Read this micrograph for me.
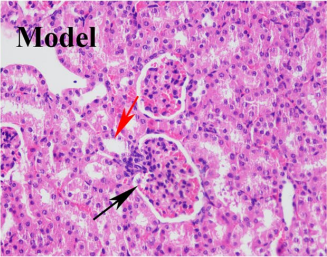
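Kidney cortex with glomeruli set among renal tubules lined by pink cuboidal cells. One glomerulus is large and crowded, with a dense cluster of dark purple nuclei at one edge. Beside it lies a pale, swollen-looking area among the tubular cells, and some tubular lumens appear widened.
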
